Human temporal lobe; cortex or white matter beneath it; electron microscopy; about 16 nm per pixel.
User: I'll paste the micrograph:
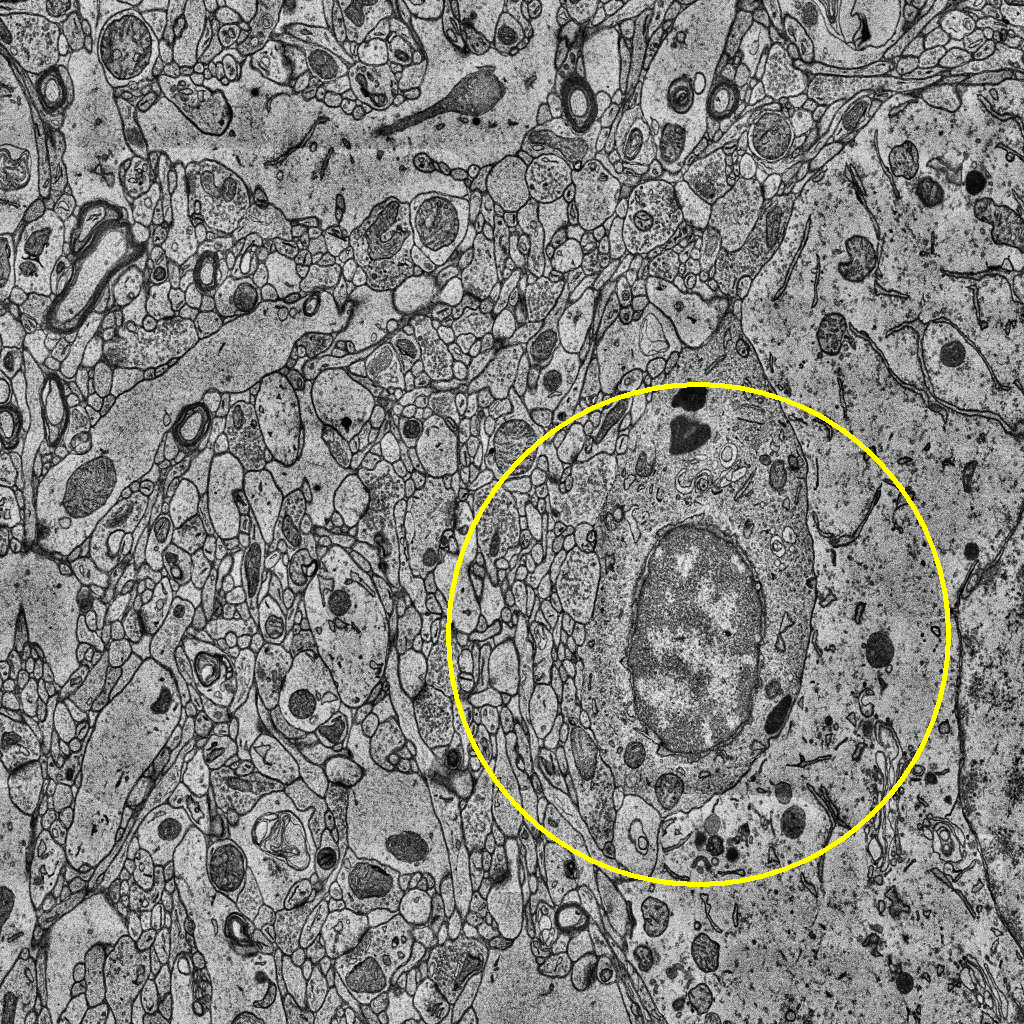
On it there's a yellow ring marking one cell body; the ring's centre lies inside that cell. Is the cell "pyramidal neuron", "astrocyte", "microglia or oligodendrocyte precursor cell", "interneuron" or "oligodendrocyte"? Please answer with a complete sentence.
The cell at the centre of the yellow ring is an oligodendrocyte.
